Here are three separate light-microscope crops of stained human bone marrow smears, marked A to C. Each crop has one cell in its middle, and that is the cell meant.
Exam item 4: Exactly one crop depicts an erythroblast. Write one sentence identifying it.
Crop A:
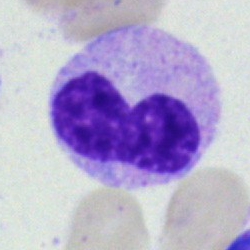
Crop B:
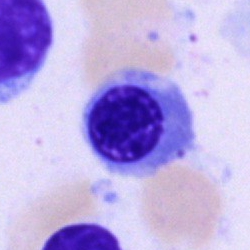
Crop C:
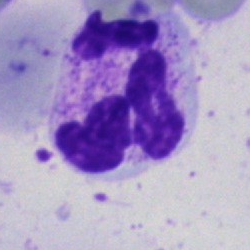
Only in crop B is an erythroblast shown.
